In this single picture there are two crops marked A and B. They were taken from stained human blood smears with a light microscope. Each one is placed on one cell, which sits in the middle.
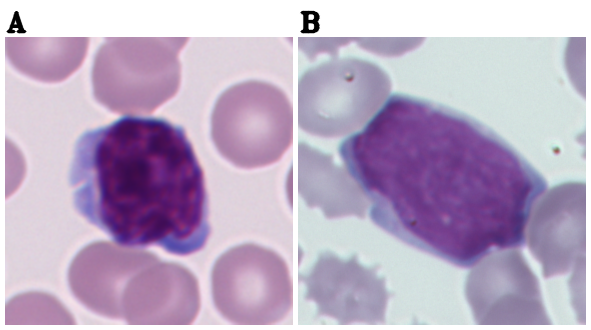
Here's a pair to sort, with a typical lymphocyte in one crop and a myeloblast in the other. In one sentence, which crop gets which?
Crop A is a typical lymphocyte, whereas a myeloblast is found in crop B.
